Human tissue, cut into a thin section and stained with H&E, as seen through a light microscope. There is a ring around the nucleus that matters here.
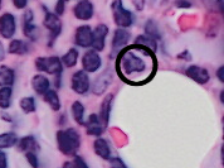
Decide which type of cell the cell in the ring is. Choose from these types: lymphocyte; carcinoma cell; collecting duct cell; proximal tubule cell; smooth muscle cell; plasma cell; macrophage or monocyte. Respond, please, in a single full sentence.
Within the stained tissue, the cell in the ring is a lymphocyte.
